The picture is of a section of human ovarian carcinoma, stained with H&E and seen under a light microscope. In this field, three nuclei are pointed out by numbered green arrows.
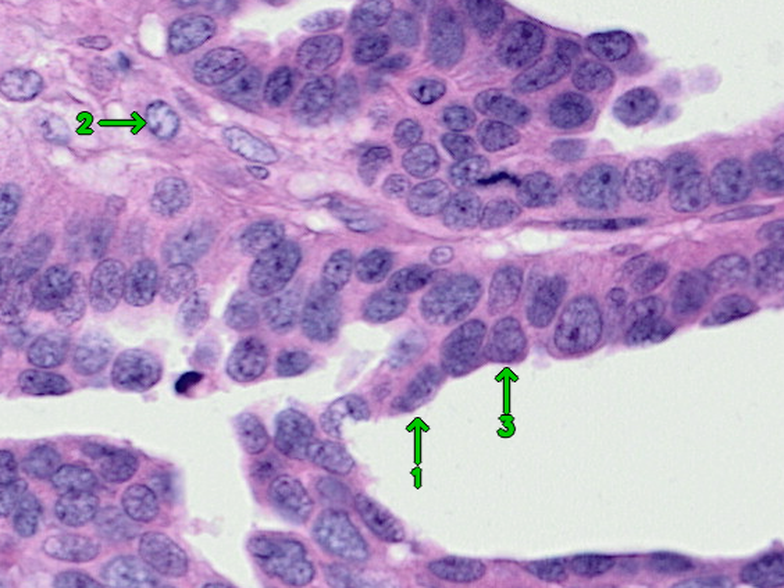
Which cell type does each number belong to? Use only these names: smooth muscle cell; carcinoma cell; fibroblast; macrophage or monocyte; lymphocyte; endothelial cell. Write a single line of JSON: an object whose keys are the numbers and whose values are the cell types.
{"1": "carcinoma cell", "2": "fibroblast", "3": "carcinoma cell"}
